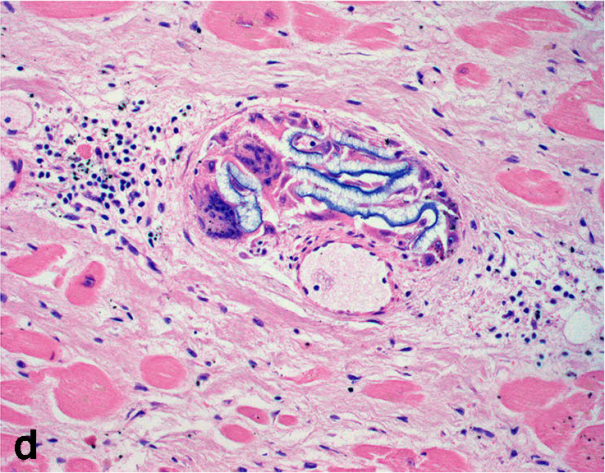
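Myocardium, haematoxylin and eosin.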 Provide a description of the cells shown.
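Cross-cut cardiac muscle in which a small intramyocardial vessel contains foreign embolic material surrounded by giant cells. The vessel lumen holds folded, ribbon-like blue non-cellular material, against which lie large multinucleated cells with clustered dark nuclei and pink cytoplasm; a pale rounded space sits beside them. Around the vessel, loose pink fibrous stroma contains clusters of small round dark nuclei of lymphocytes, more on the left and right. The surrounding cardiac muscle fibres are cut transversely, appearing as pink rounded profiles of varying size, some with central nuclei, separated by widened interstitial tissue.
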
